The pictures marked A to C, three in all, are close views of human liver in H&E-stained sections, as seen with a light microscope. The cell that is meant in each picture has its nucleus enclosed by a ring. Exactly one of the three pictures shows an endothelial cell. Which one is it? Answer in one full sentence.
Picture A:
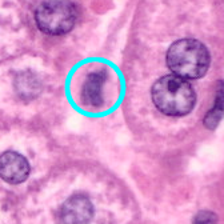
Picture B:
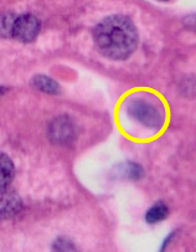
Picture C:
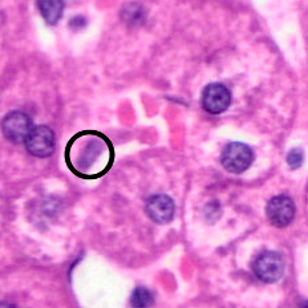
Picture B shows the endothelial cell.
